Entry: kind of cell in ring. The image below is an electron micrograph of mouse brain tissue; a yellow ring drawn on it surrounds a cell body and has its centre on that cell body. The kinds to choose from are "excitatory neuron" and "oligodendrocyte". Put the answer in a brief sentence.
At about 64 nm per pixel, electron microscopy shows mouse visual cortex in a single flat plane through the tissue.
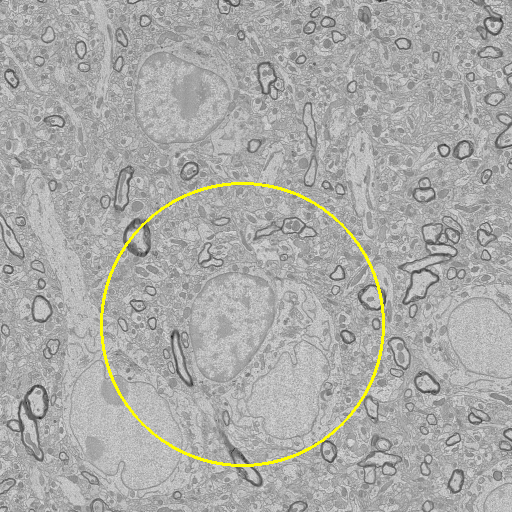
The ring has been drawn around an oligodendrocyte.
